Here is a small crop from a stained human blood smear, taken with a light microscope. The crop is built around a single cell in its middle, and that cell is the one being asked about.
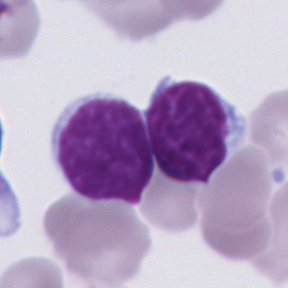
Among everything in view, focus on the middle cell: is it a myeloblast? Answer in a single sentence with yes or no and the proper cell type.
Yes, it is a myeloblast that is seen at the centre of the crop.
